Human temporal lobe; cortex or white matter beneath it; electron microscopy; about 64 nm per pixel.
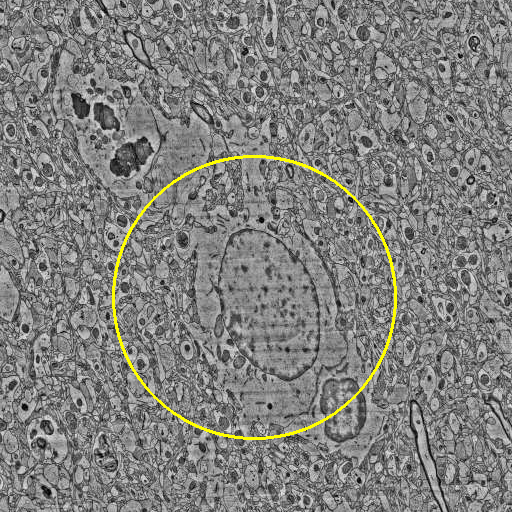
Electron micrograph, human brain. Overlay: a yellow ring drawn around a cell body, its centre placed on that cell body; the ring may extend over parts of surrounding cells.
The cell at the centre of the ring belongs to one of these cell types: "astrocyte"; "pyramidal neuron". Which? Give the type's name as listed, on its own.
astrocyte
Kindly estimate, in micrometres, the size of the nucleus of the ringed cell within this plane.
The nucleus comes to approximately 10 by 6 micrometres and is clearly longer than it is wide in this plane.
